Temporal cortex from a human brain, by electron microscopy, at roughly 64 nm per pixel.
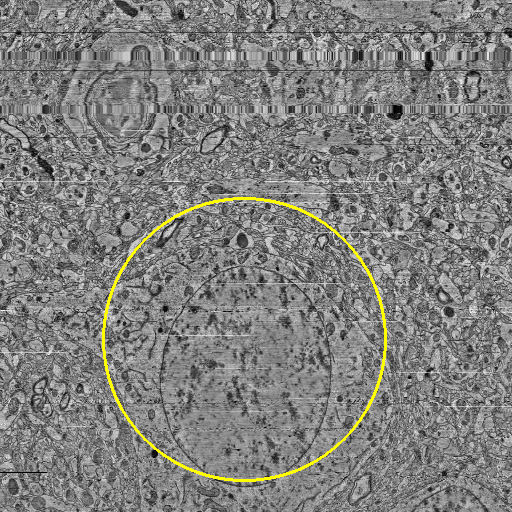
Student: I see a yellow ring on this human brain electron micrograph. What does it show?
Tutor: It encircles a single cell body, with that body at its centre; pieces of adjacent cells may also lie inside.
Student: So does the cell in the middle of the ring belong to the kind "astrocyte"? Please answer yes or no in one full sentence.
No, that cell at the centre of the ring is one of another kind.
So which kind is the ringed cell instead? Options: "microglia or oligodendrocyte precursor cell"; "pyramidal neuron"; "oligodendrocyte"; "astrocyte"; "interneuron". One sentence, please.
In this picture, the ring is centred on a pyramidal neuron.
